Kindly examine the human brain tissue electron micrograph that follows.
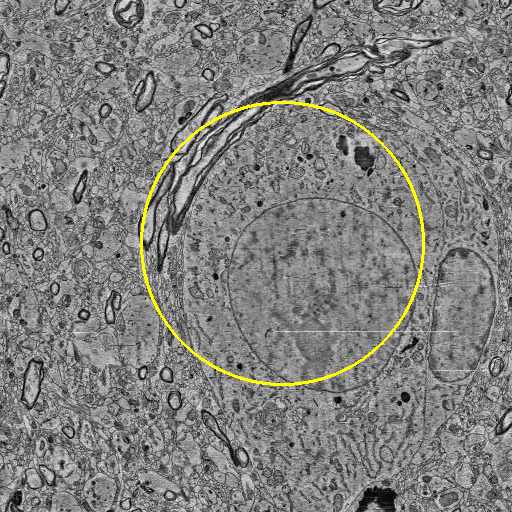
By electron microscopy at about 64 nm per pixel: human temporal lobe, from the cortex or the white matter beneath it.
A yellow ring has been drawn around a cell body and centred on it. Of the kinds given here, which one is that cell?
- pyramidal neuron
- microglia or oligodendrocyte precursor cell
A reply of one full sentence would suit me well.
The micrograph's ringed cell, the one at the ring's centre, is a pyramidal neuron.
